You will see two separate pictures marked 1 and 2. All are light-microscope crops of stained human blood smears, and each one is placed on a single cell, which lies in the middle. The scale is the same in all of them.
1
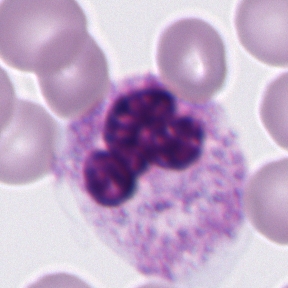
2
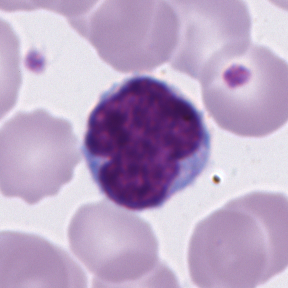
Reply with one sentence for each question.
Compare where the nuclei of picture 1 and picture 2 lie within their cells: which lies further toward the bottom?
In picture 2 the nucleus is shifted more toward the bottom.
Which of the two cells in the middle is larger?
Larger is the cell in picture 1, at roughly 2 times the area of the other.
